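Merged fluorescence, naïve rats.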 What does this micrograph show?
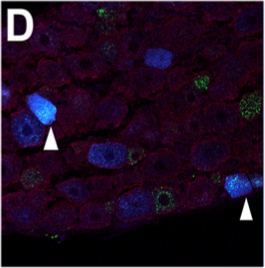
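This is sensory ganglion tissue with densely packed, large rounded neuronal cell bodies, each outlined by a thin magenta rim. A few neurons are filled with blue label, some show green granular label in the cytoplasm, and the marked ones carry both labels together.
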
